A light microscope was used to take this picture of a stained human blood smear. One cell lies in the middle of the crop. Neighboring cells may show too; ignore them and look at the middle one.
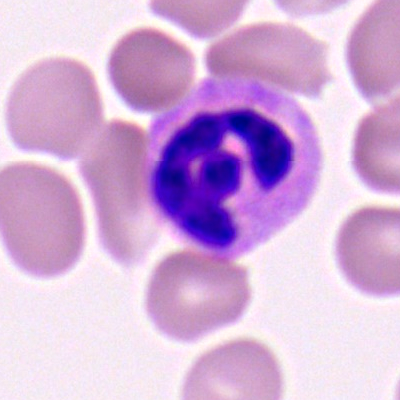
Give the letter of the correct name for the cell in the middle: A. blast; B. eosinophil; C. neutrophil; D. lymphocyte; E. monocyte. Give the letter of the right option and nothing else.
C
